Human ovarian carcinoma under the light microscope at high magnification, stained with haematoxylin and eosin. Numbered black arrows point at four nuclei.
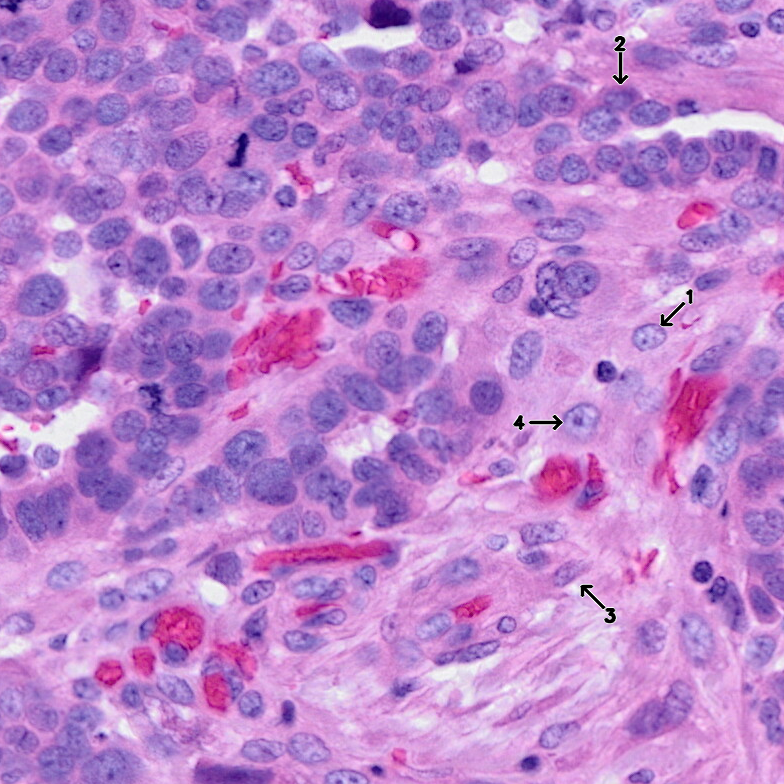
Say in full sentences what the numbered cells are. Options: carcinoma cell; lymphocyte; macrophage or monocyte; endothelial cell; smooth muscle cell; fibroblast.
Cell 1 is a fibroblast, cell 2 is a carcinoma cell, cell 3 is a fibroblast and cell 4 is a fibroblast.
